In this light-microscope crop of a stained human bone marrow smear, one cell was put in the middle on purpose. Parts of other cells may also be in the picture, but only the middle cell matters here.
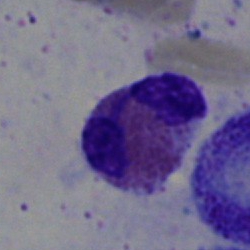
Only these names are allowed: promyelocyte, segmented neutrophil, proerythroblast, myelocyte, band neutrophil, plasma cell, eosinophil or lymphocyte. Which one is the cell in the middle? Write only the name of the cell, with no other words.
eosinophil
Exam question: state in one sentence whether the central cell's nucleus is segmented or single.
The nucleus is divided into two or more distinct lobes.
